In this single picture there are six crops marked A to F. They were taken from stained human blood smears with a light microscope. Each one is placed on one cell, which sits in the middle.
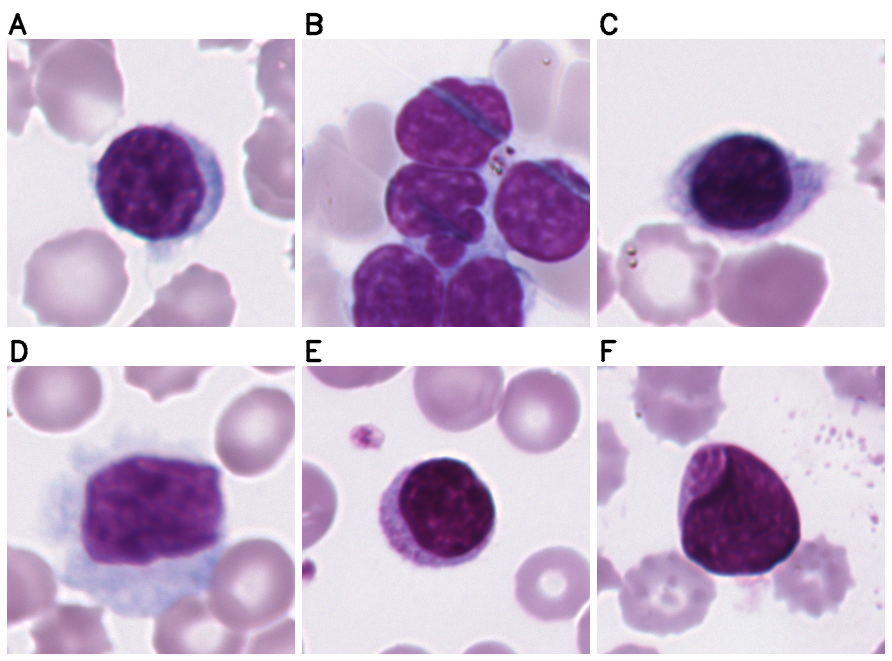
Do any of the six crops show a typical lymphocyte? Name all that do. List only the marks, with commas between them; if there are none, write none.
E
